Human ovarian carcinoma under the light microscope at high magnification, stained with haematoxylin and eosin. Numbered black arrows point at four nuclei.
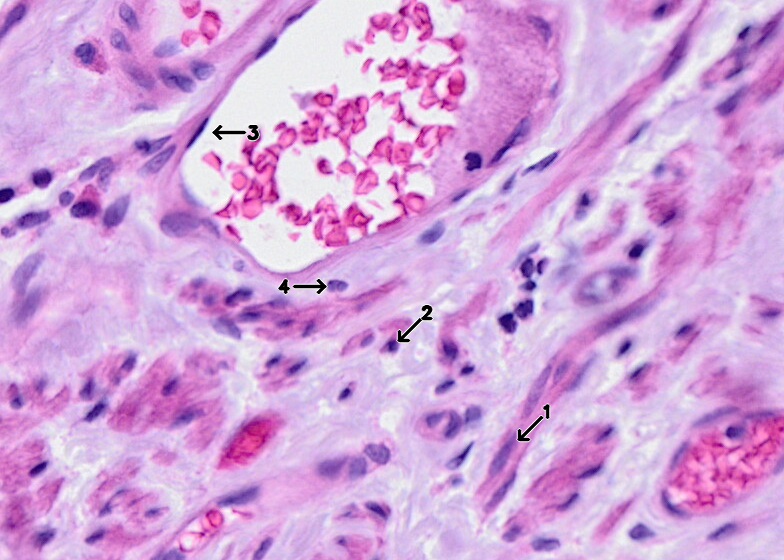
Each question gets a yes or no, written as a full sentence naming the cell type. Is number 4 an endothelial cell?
No, the cell given number 4 is a lymphocyte, as opposed to an endothelial cell.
